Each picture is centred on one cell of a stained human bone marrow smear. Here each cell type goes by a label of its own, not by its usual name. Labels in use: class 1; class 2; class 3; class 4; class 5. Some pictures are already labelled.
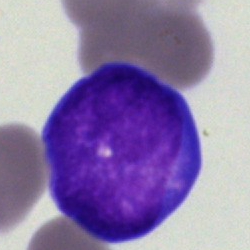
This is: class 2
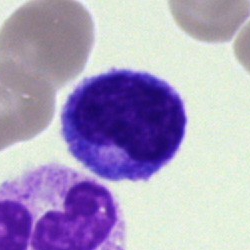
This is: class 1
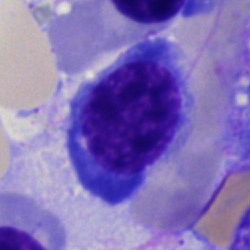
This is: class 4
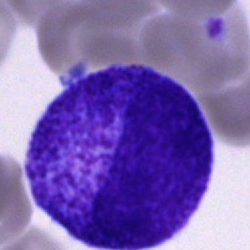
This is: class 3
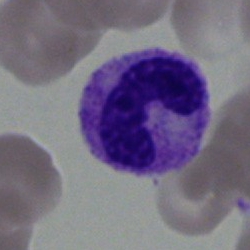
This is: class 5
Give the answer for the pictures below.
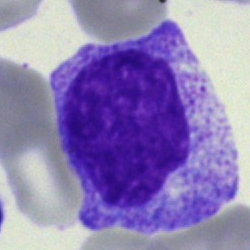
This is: class 3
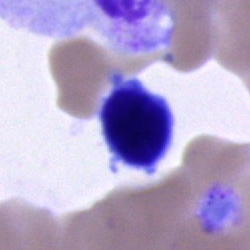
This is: class 1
